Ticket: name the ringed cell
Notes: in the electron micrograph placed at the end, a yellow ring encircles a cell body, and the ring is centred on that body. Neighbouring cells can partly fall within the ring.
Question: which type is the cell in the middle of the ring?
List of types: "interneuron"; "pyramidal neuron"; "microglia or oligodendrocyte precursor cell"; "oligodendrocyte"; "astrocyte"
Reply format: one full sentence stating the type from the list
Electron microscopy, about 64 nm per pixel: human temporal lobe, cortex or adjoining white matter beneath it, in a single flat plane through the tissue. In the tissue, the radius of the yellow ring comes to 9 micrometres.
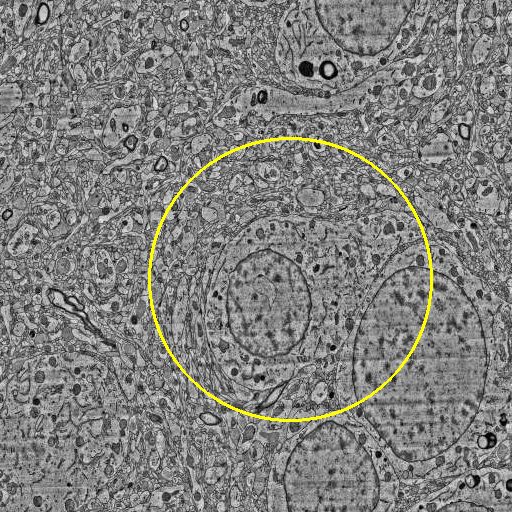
The cell sitting at the centre of the yellow ring is a pyramidal neuron.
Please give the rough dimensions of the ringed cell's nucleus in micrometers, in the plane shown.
The nucleus appears roughly 7 by 5 micrometres in this plane.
